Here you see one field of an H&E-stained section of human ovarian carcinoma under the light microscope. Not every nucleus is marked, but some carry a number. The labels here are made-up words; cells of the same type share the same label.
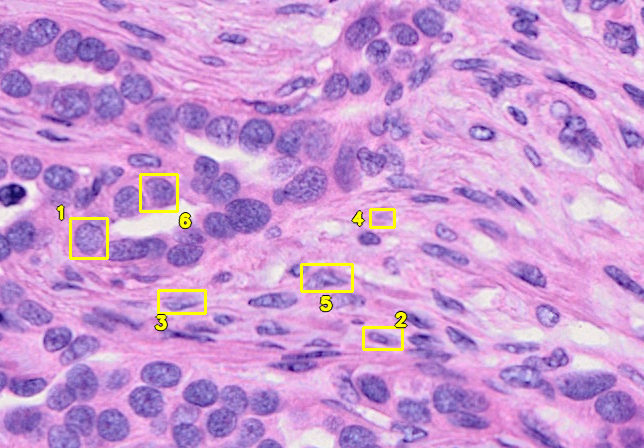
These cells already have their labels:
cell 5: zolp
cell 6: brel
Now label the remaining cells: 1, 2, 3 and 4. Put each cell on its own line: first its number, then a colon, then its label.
1: brel
2: zolp
3: zolp
4: zolp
